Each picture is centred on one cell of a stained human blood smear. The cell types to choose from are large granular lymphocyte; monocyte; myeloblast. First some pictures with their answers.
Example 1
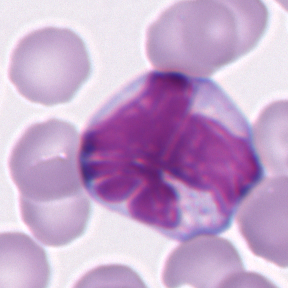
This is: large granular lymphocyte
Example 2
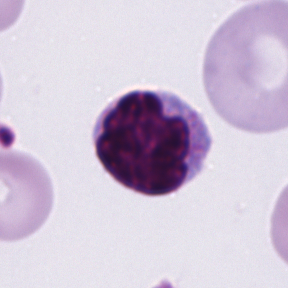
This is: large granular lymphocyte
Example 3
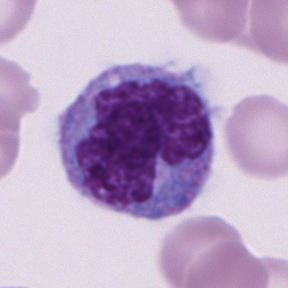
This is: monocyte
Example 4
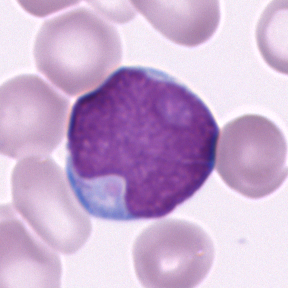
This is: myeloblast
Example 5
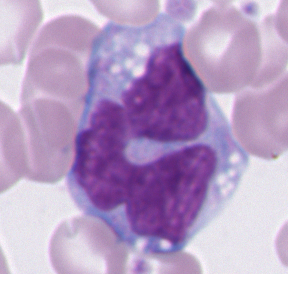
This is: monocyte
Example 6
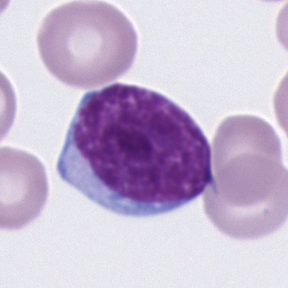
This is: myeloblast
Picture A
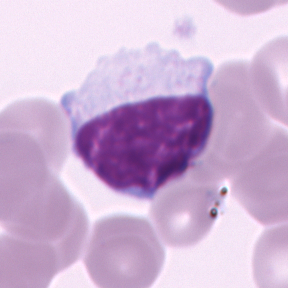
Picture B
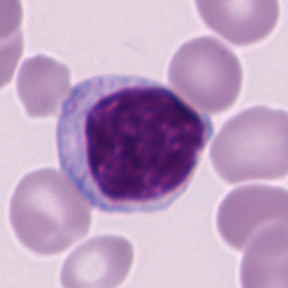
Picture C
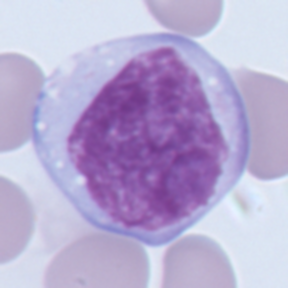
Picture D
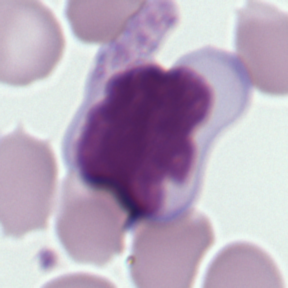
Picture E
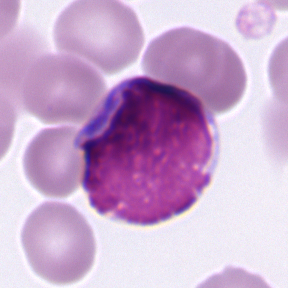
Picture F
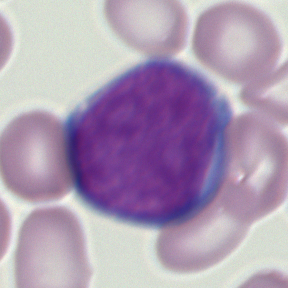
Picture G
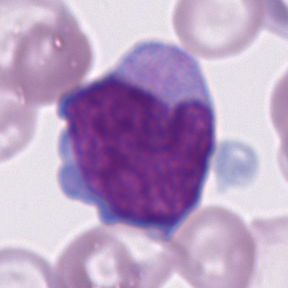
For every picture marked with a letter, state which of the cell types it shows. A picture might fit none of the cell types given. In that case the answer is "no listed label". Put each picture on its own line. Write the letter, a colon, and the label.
A: large granular lymphocyte
B: large granular lymphocyte
C: myeloblast
D: large granular lymphocyte
E: large granular lymphocyte
F: myeloblast
G: myeloblast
